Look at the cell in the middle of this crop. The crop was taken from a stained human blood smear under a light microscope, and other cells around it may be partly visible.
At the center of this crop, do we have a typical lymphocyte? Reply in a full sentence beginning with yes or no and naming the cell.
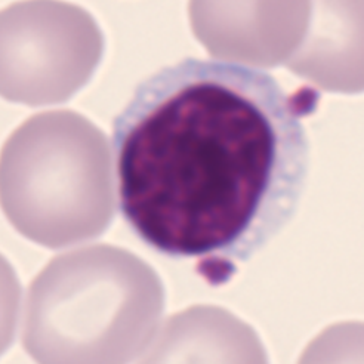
Yes, the cell that is in the middle is a typical lymphocyte.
